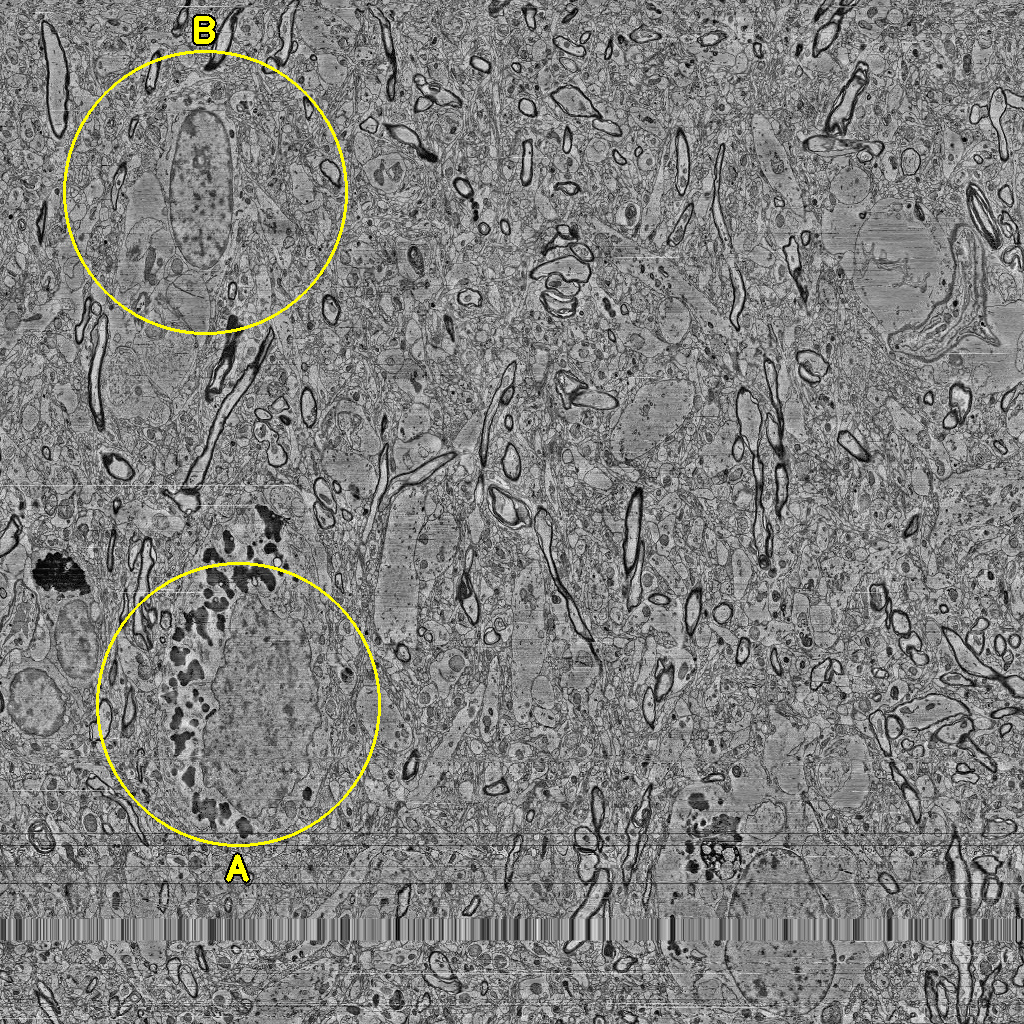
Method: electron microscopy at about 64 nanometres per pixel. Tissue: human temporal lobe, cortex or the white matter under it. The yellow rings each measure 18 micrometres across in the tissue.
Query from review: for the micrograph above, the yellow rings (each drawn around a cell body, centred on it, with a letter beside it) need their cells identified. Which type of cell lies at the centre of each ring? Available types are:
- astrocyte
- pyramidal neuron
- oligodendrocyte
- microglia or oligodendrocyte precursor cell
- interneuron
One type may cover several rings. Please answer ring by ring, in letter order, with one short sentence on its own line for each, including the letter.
Ring A is drawn around an interneuron.
Ring B is drawn around a microglial cell or oligodendrocyte precursor cell.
